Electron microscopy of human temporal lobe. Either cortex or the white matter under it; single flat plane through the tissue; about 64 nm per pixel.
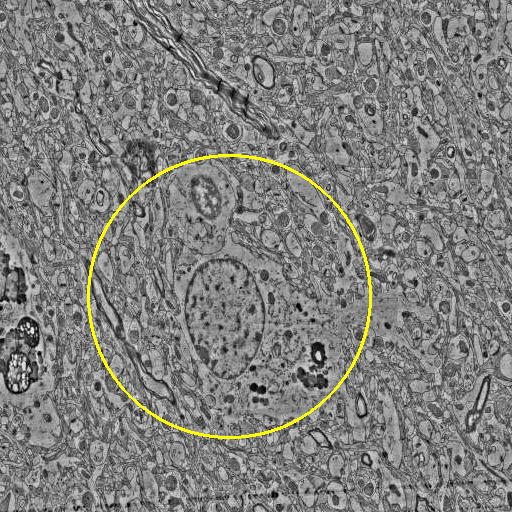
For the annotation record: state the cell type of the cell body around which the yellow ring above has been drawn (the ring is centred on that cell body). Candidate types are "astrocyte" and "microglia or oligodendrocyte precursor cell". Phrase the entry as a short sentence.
The ringed cell is an astrocyte.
